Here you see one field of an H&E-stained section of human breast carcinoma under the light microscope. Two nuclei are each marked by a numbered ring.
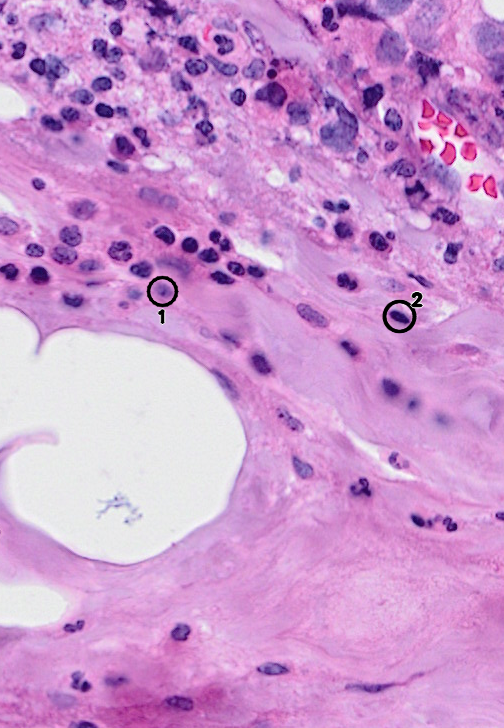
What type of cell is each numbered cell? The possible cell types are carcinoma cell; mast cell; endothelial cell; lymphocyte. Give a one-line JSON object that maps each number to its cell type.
{"1": "mast cell", "2": "lymphocyte"}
